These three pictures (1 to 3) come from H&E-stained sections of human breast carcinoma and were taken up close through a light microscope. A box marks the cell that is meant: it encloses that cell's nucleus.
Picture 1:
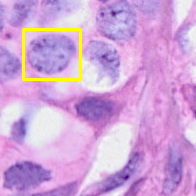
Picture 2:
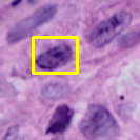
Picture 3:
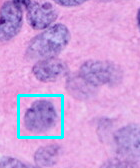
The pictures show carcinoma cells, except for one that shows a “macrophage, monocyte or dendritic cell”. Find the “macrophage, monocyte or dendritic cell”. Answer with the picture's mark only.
2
